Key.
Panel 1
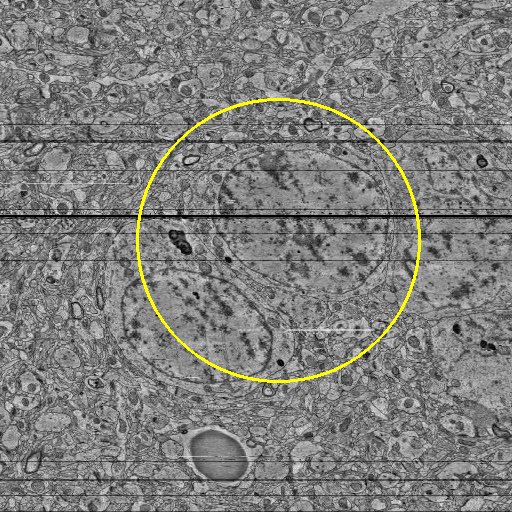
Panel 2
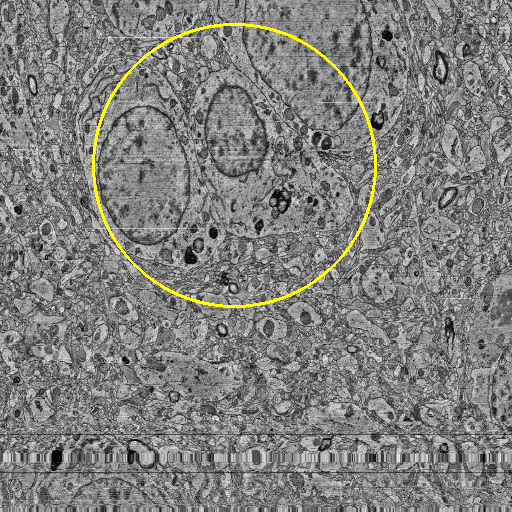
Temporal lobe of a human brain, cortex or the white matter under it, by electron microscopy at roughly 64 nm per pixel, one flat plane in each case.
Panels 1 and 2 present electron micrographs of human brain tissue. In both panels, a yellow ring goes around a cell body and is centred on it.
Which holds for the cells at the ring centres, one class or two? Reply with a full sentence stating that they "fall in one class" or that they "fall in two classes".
Taken together, the ring-centre cells of the two panels fall in one class.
